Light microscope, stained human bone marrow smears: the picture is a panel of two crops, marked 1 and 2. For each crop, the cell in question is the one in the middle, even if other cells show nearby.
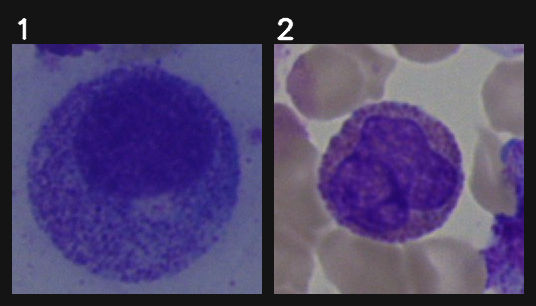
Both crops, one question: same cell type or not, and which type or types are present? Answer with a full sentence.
No, crop 1 captures a myelocyte, and crop 2 captures an eosinophil.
